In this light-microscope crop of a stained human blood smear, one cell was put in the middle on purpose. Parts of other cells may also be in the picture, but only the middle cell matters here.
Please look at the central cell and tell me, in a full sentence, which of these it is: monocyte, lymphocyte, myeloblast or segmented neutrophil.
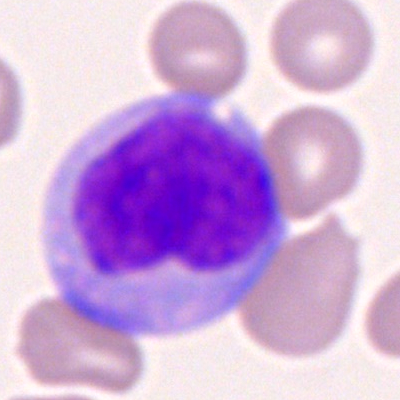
In the centre of this crop there is a monocyte.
